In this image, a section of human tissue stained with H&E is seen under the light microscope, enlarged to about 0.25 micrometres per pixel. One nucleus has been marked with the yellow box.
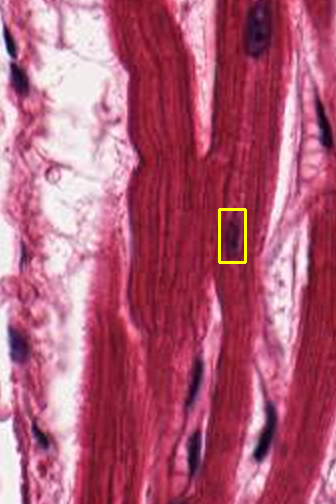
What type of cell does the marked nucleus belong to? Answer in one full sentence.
The marked nucleus is part of a cardiomyocyte.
